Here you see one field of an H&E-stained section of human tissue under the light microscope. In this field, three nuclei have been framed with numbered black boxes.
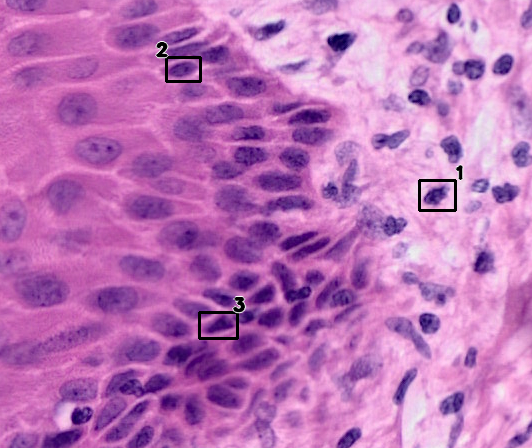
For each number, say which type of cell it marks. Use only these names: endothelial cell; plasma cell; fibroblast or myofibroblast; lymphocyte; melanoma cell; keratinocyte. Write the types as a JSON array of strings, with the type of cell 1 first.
["lymphocyte", "keratinocyte", "keratinocyte"]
